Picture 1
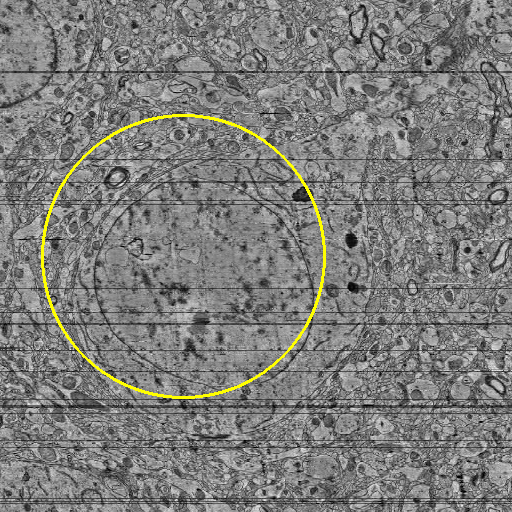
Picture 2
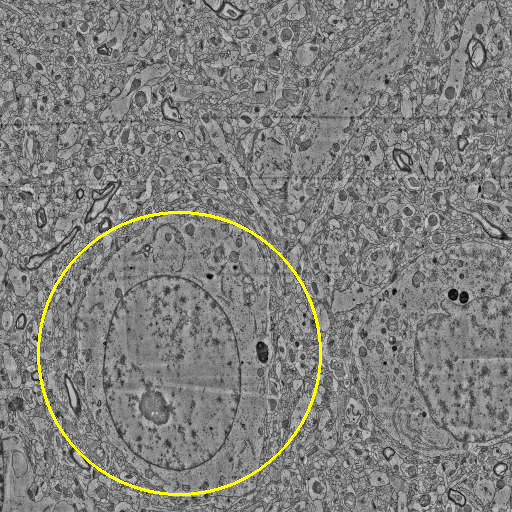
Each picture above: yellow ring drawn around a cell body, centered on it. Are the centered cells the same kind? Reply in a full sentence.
Yes, the two cells are the same kind.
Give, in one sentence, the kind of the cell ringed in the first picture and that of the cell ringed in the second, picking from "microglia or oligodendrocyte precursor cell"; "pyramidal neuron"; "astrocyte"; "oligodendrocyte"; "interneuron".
Each of the two pictures has a pyramidal neuron at the ring centre.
